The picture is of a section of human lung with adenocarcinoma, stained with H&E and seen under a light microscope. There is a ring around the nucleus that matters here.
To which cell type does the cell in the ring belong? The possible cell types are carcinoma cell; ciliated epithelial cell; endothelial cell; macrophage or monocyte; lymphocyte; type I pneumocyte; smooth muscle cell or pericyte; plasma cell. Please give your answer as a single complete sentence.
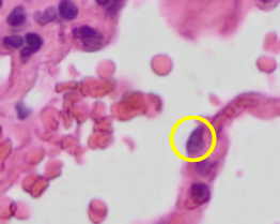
Cell type answer for this item: the cell in the ring is a type I pneumocyte.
